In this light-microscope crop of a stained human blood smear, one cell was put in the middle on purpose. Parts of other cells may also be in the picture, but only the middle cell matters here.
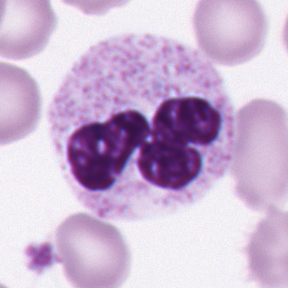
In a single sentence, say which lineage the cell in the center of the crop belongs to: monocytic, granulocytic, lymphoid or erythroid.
In the crop, the cell at the center is of granulocytic lineage.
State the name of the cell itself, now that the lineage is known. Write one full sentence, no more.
The crop shows a segmented neutrophil in its centre.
